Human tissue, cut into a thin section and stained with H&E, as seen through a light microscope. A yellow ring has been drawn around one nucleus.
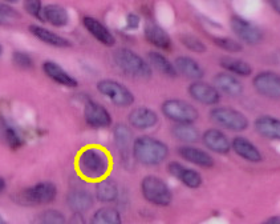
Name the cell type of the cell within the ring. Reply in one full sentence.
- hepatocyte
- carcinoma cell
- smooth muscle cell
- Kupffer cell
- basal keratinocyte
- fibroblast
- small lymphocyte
To be brief about it, the cell within the ring is a basal keratinocyte.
